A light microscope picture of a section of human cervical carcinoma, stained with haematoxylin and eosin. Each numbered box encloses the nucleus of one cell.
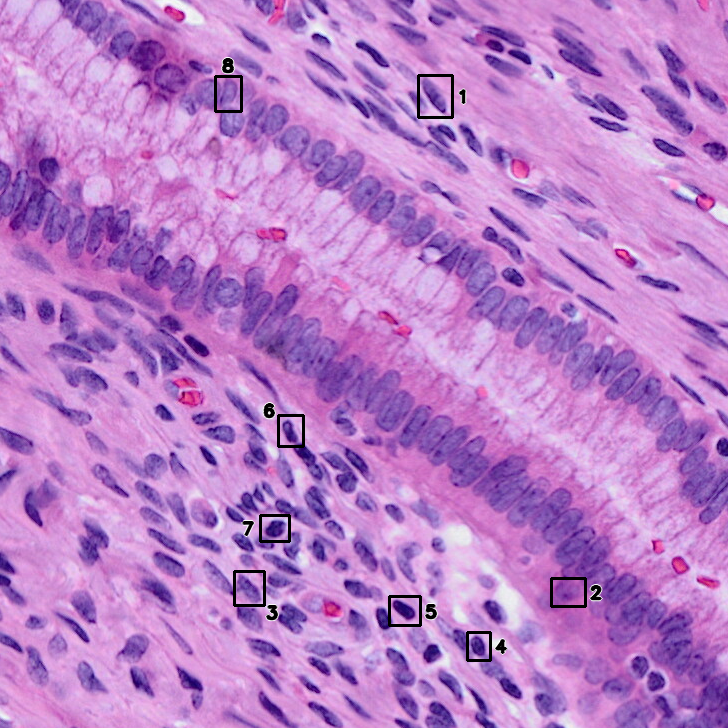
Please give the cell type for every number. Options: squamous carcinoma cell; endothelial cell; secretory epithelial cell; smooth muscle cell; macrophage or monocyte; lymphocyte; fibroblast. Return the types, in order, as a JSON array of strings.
["fibroblast", "secretory epithelial cell", "fibroblast", "lymphocyte", "lymphocyte", "lymphocyte", "lymphocyte", "secretory epithelial cell"]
